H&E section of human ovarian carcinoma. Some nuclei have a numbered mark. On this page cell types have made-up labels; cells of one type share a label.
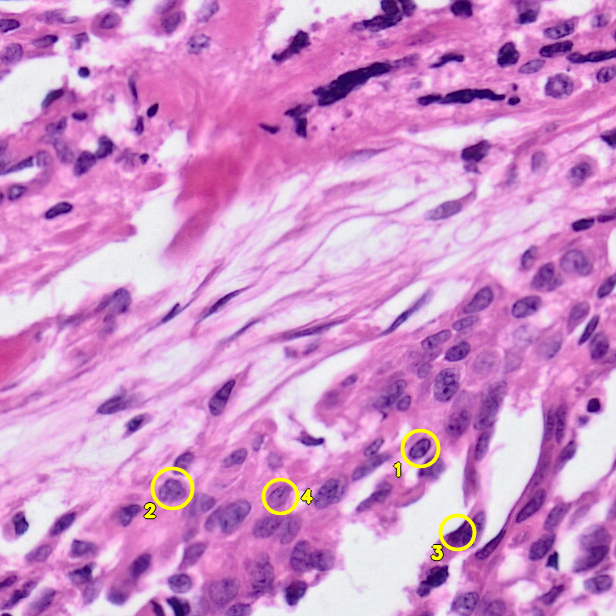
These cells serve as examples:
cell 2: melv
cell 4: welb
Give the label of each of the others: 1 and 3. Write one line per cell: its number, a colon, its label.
1: melv
3: welb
